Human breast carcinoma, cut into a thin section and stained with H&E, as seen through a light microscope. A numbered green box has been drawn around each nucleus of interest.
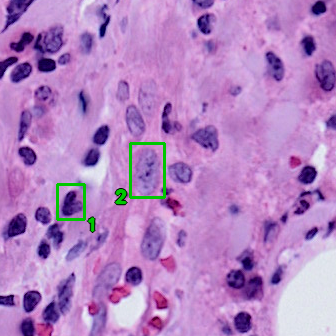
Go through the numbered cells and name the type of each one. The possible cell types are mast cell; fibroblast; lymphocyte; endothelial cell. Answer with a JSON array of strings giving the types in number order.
["lymphocyte", "endothelial cell"]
